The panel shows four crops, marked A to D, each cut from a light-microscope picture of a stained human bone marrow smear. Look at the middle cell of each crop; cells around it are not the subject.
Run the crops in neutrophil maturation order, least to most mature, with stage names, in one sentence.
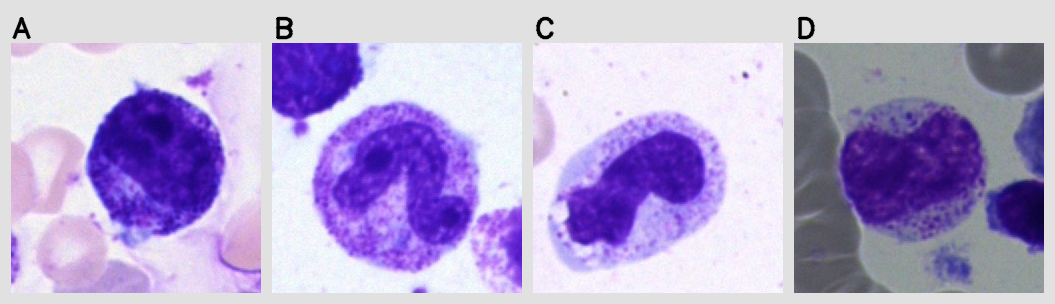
So the order, from least to most mature, is crop A (a promyelocyte), crop D (a metamyelocyte), crop C (a band neutrophil) and crop B (a segmented neutrophil).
